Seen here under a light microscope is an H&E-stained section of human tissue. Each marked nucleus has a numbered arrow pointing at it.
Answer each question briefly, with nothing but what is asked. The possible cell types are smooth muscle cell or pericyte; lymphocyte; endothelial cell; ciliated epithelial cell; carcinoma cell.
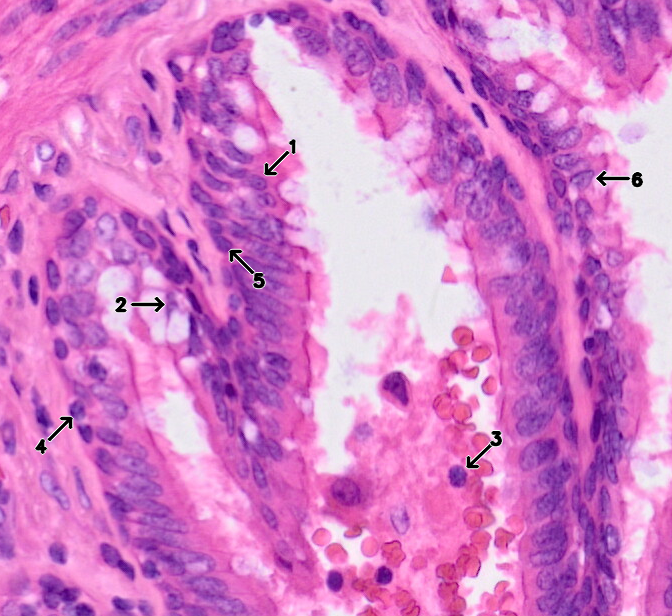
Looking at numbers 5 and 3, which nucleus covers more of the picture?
3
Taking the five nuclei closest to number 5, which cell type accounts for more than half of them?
ciliated epithelial cell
